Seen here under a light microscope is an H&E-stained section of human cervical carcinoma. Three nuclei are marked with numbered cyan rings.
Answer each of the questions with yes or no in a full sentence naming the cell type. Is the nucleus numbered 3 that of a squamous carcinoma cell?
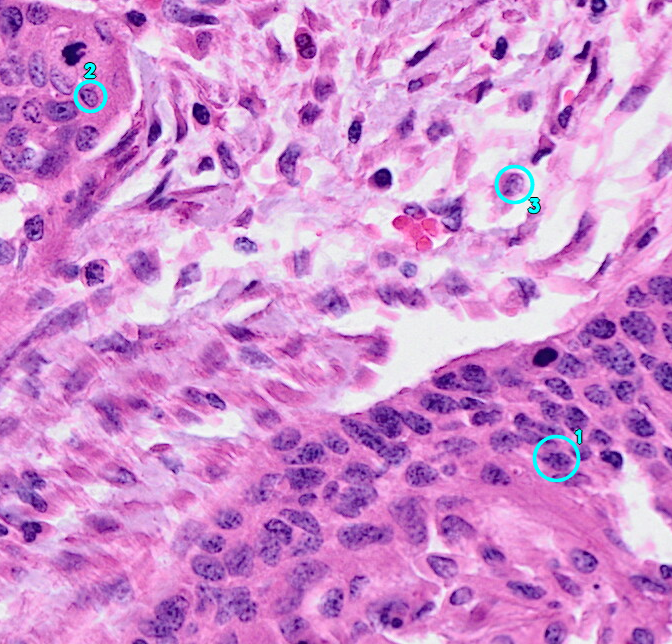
No, number 3 is not a squamous carcinoma cell but a macrophage or monocyte.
